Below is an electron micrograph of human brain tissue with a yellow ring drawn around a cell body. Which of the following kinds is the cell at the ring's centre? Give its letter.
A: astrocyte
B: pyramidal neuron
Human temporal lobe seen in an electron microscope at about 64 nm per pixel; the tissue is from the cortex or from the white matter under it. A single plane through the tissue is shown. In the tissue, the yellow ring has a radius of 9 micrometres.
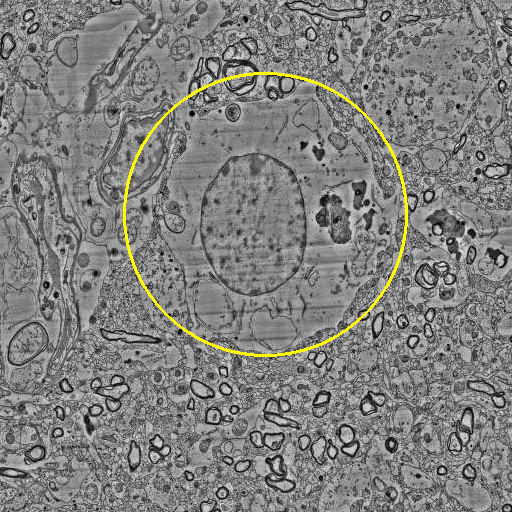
A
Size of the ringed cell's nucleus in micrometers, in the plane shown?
About 9 by 7 micrometres in this plane.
